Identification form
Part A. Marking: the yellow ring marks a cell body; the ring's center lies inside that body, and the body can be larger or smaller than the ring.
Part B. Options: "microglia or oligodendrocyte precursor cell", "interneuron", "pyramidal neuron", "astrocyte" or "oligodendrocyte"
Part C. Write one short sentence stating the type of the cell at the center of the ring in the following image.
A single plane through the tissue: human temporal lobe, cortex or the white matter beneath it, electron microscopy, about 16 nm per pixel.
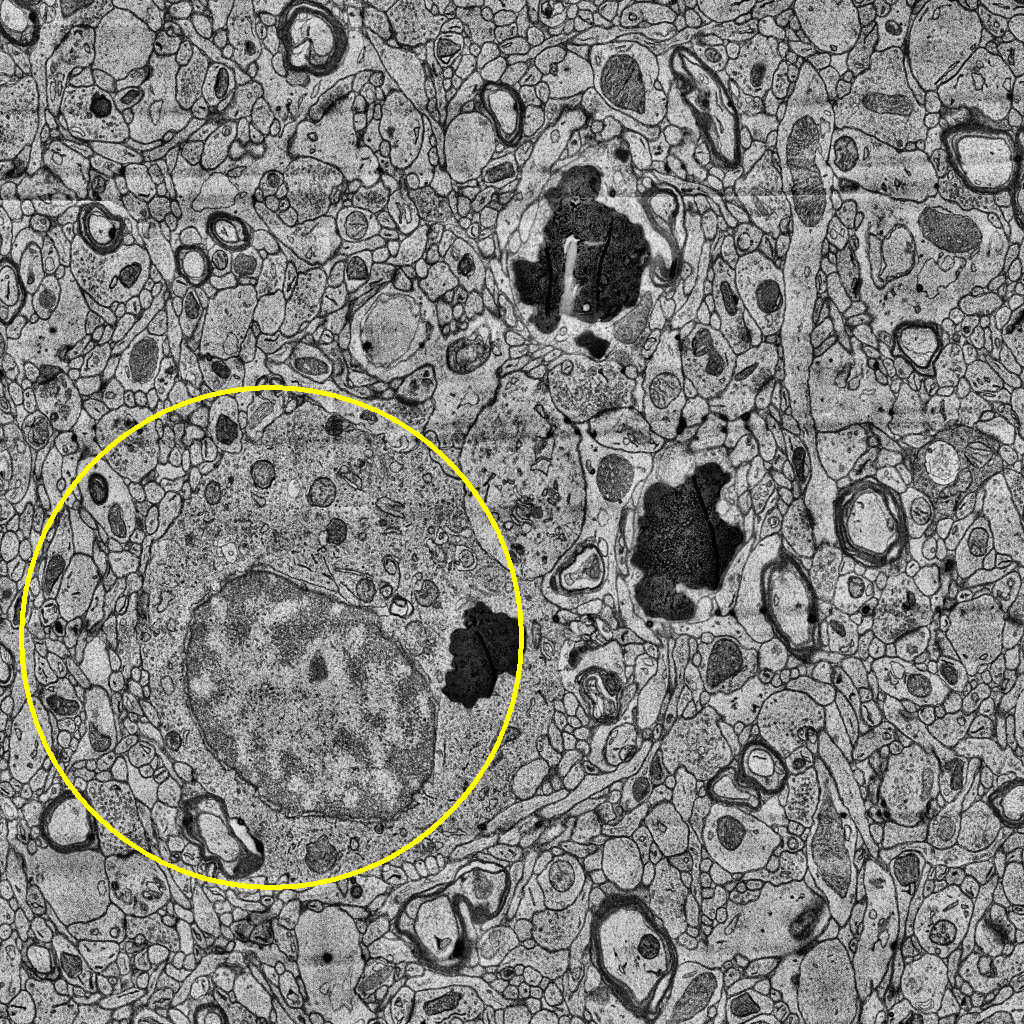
The center of the ring holds an oligodendrocyte.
